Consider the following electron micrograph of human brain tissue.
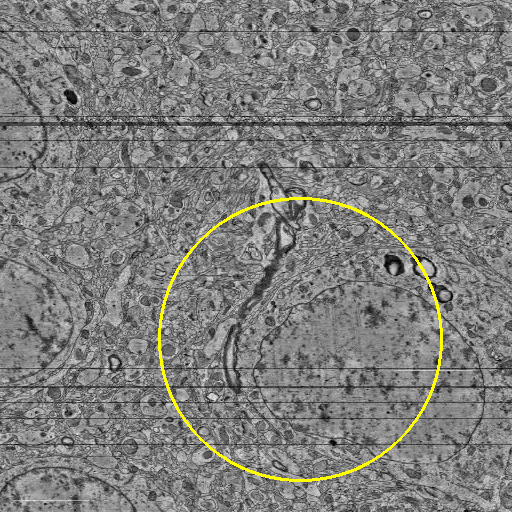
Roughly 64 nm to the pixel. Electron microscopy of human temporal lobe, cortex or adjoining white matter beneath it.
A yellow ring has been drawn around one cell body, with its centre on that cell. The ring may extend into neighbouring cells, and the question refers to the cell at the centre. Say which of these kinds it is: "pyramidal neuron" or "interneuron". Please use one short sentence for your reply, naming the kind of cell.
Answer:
The centre of the ring falls on a pyramidal neuron.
